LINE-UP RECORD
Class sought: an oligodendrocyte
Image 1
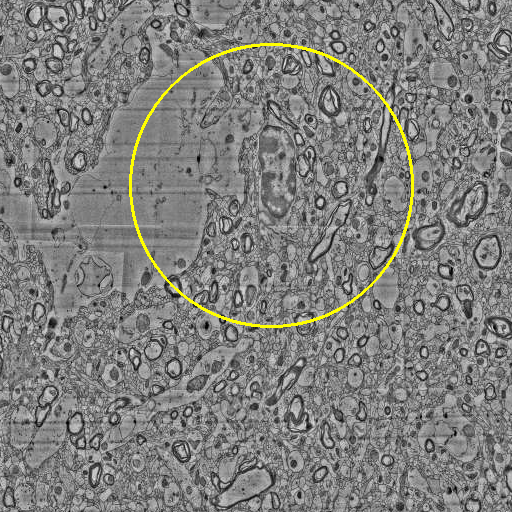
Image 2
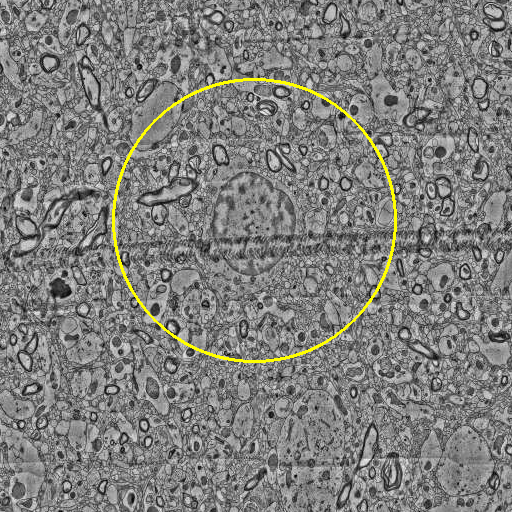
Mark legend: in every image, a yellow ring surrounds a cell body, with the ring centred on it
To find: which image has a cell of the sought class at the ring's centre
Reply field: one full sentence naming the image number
The ring-centred cell of image 2 belongs to the class sought.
